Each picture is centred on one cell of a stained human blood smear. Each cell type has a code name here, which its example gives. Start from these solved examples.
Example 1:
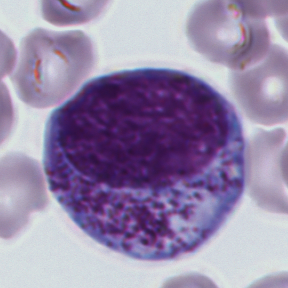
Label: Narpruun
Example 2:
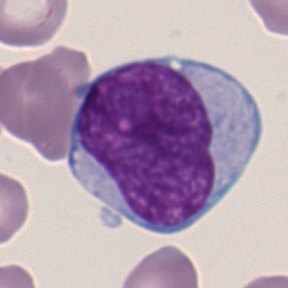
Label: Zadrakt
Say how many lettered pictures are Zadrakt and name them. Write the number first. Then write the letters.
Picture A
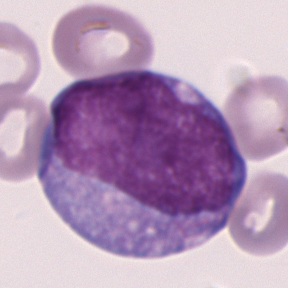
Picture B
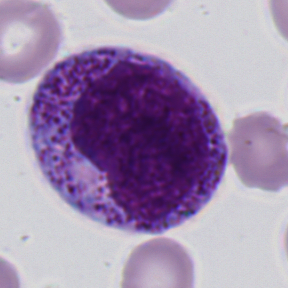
0, none of them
